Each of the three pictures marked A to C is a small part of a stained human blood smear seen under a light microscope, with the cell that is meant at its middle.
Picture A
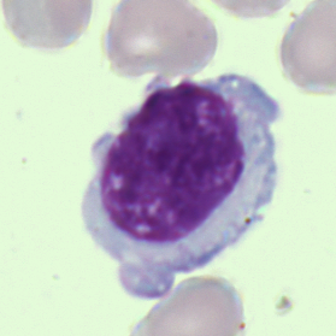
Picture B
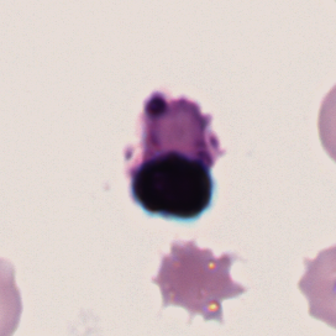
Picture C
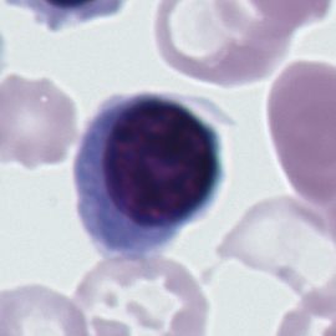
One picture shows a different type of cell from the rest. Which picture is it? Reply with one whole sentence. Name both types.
The others show normoblasts, but picture A shows a plasma cell.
